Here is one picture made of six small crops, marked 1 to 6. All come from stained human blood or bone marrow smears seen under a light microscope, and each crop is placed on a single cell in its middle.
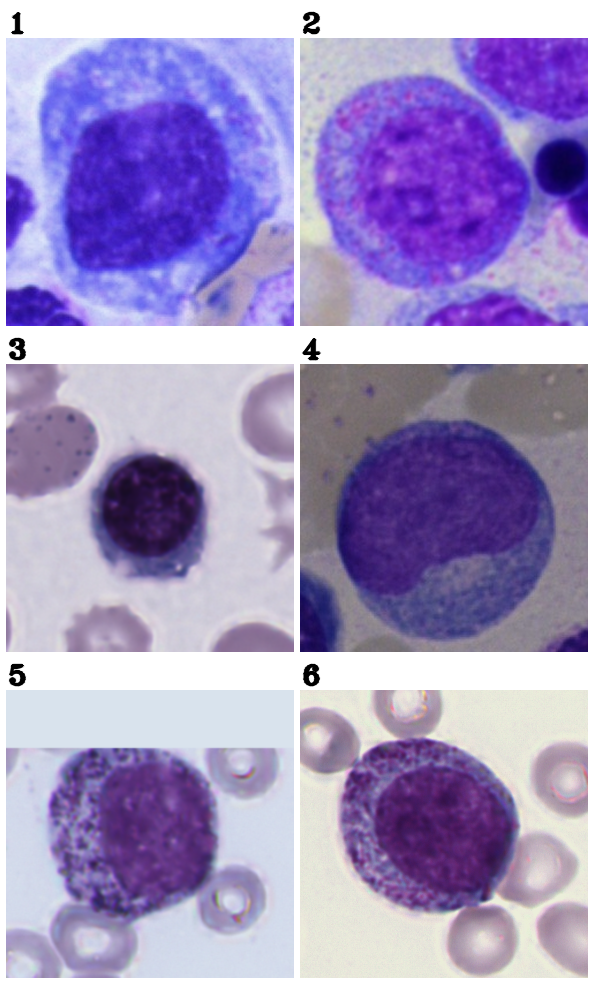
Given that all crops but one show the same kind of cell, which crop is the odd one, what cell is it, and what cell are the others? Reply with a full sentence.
Crop 3 shows a plasma cell, while all of the others show promyelocytes.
